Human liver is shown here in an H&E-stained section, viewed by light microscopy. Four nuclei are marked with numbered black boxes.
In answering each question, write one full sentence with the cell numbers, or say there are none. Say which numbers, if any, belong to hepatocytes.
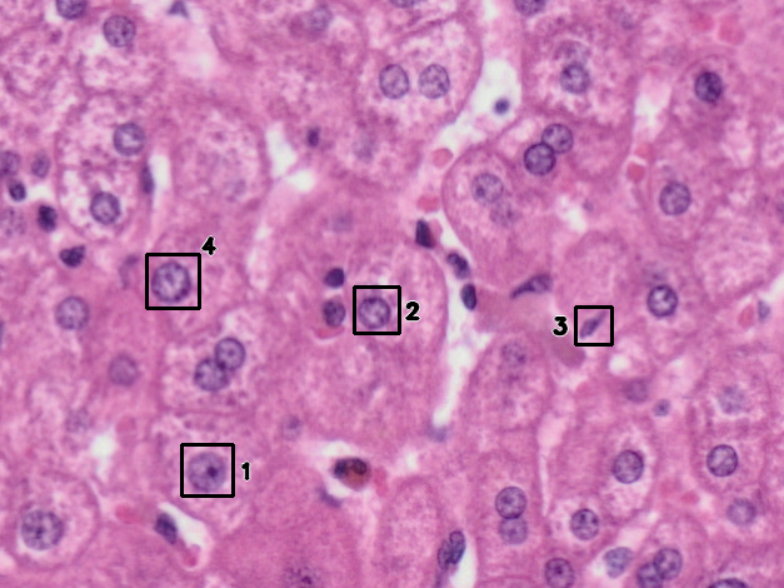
The cells tagged with numbers 1, 2 and 4 are hepatocytes.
